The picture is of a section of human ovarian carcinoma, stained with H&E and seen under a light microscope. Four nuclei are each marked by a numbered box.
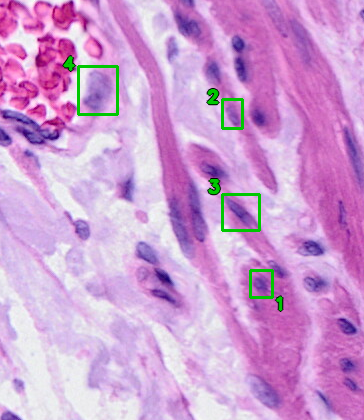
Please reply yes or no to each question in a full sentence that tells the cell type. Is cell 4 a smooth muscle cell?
No, cell 4 counts as an endothelial cell rather than as a smooth muscle cell.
